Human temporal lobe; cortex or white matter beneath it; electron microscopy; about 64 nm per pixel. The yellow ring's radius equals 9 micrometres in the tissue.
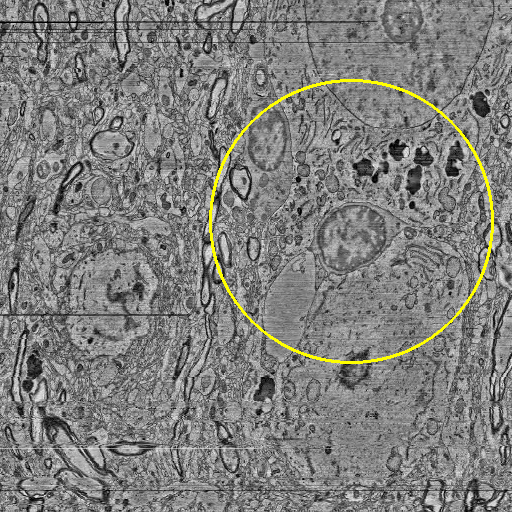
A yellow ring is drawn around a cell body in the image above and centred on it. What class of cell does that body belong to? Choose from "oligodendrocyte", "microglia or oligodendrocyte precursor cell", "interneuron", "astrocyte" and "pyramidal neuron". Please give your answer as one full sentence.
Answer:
The yellow ring above is centred on the cell body of an oligodendrocyte.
